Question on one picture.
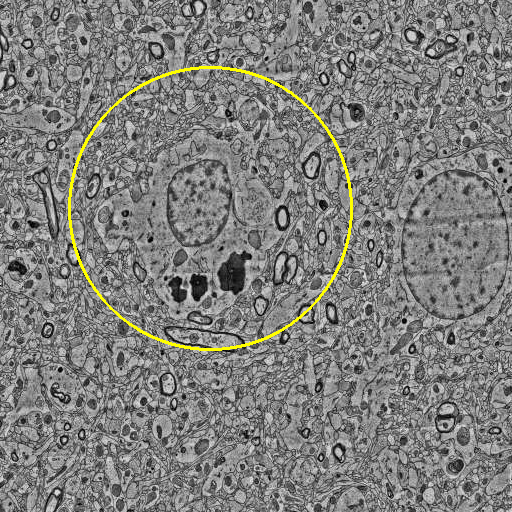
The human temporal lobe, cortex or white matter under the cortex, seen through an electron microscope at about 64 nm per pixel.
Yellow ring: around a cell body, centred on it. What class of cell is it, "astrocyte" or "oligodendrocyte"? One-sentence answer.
This is an astrocyte, the cell the ring is centred on.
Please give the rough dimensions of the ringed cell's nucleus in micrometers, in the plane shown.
Approximately 6 x 4 micrometres in this plane.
